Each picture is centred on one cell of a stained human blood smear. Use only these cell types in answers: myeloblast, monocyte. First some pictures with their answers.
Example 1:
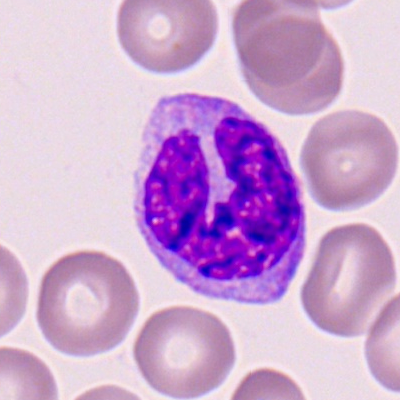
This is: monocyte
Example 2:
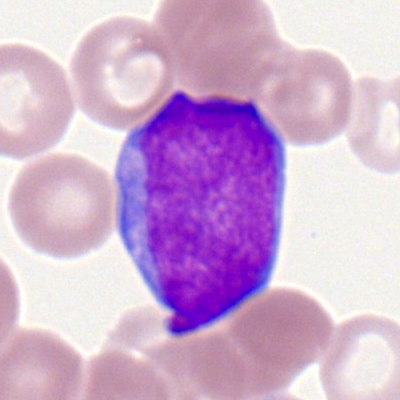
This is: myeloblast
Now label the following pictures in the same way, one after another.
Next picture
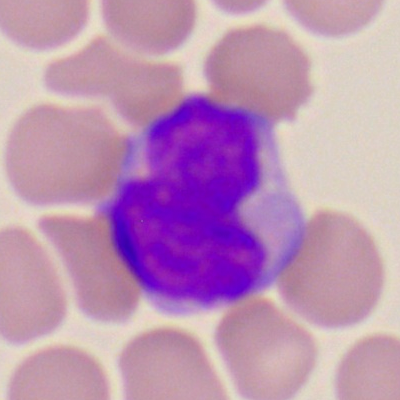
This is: myeloblast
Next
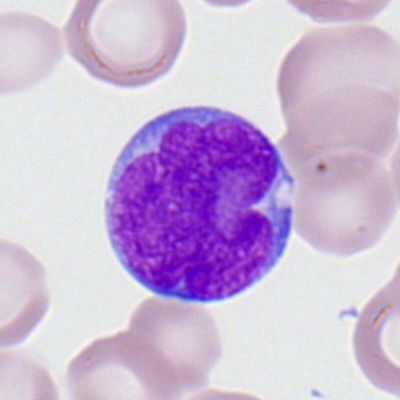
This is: myeloblast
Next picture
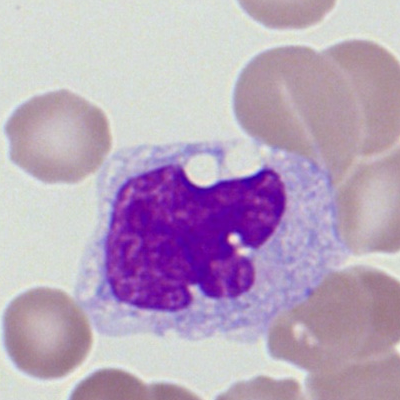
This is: monocyte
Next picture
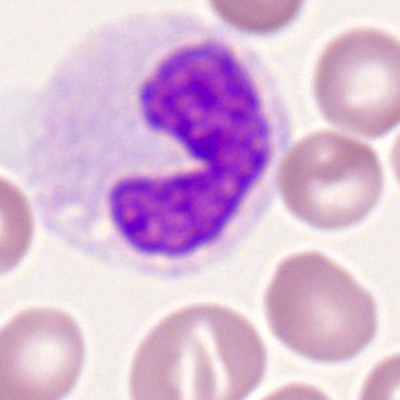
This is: monocyte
